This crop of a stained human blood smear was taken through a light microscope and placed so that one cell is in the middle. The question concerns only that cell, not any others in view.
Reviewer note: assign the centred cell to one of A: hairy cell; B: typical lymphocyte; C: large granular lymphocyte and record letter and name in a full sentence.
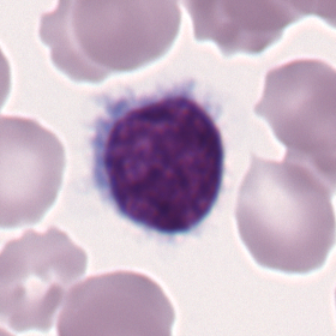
Option A is correct, and the cell in the centre is a hairy cell.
